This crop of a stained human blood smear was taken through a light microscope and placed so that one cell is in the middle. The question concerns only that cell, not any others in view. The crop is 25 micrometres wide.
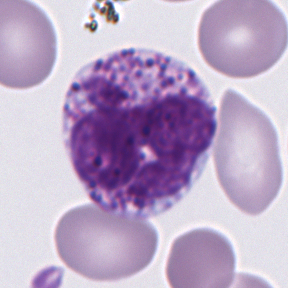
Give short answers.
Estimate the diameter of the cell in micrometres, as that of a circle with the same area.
14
